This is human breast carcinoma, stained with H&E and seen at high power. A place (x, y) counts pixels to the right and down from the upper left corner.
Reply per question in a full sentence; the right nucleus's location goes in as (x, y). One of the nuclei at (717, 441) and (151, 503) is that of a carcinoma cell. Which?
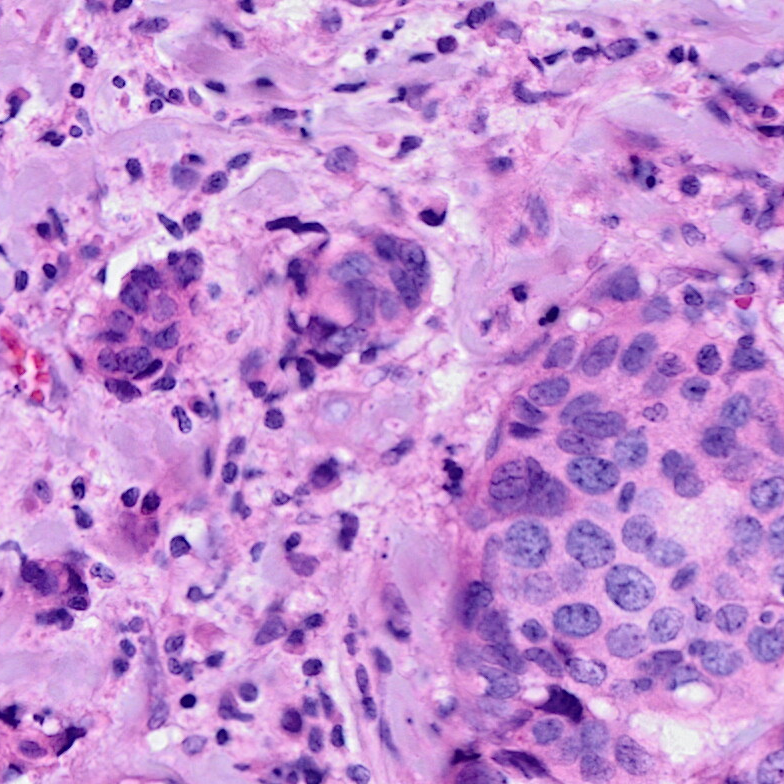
The nucleus at (717, 441) is the one of the two that belongs to a carcinoma cell.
